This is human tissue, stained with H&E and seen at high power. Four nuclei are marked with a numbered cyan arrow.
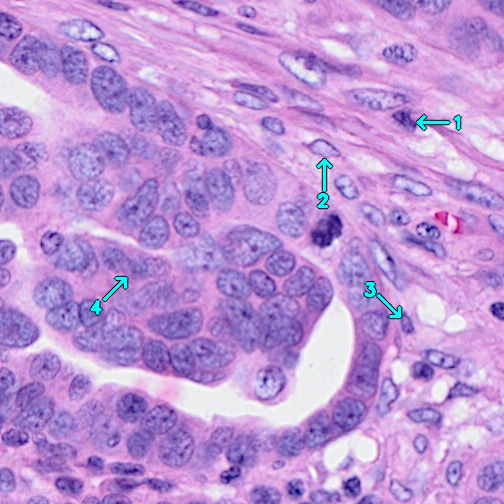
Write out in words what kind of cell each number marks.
Cells 1 and 3 are macrophages or monocytes. Cell 2 is a fibroblast. Cell 4 is a carcinoma cell.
